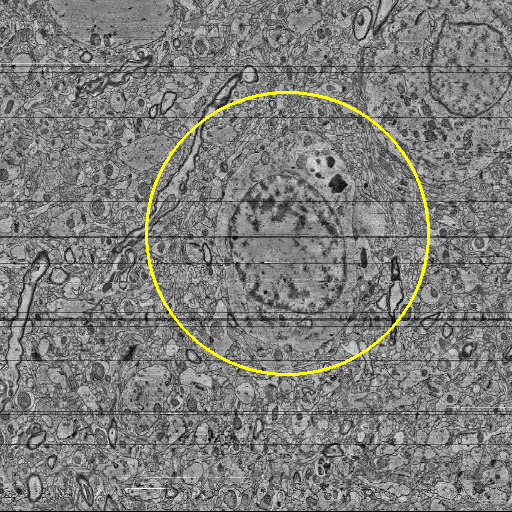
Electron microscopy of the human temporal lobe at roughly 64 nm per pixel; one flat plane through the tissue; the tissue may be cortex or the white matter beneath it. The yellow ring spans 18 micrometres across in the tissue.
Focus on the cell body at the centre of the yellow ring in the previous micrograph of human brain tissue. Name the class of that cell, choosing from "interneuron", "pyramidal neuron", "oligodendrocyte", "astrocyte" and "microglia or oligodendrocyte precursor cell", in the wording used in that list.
interneuron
